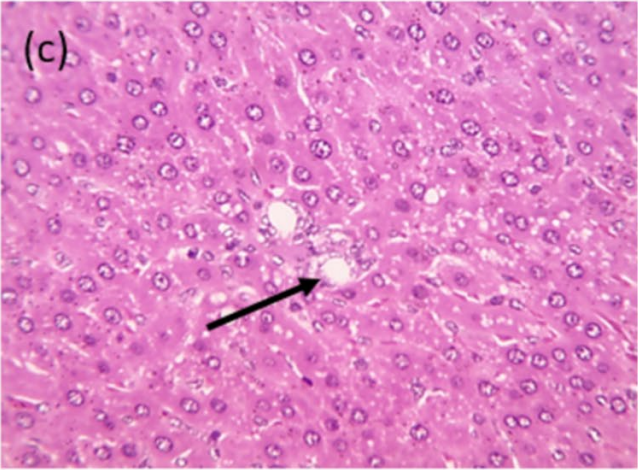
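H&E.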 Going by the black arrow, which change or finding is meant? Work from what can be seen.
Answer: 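Mild cytoplasmic vacuolization. A few small clear round vacuoles lie among otherwise pink hepatocytes. Most surrounding hepatocytes have homogeneous cytoplasm.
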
